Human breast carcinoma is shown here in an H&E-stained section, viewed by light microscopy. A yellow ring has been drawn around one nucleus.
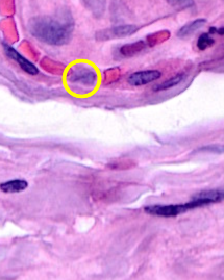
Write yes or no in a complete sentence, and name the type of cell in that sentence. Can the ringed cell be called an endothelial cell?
Yes, the naming of the ringed cell as an endothelial cell is correct.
